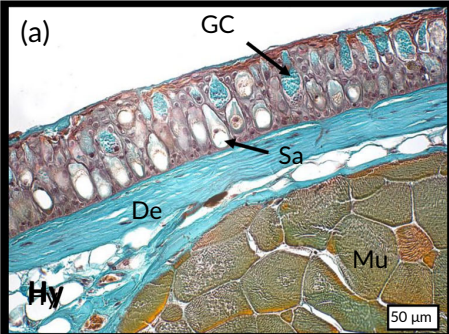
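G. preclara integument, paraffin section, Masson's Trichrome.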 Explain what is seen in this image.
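This is fish skin in section, with an epidermis full of goblet cells and sacciform cells over a dermis and muscle fibres. The goblet cells are flask-shaped and packed with blue-green granular contents, while the sacciform cells are large, rounded and appear largely empty and pale. Beneath the epithelium runs a band of dense turquoise-stained dermis with a few dark pigmented bodies, and below it lie polygonal muscle fibres stained olive to brown, with a loose, pale hypodermis at the lower left.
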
